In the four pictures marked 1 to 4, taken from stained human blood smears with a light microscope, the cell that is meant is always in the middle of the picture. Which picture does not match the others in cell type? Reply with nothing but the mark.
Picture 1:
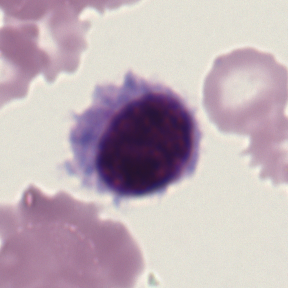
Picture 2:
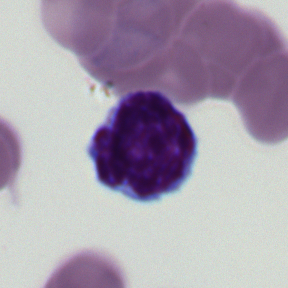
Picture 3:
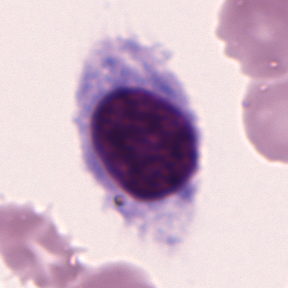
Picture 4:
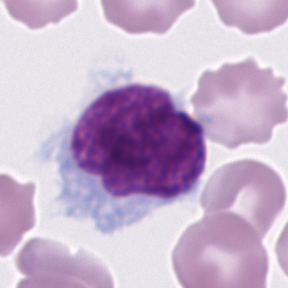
2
